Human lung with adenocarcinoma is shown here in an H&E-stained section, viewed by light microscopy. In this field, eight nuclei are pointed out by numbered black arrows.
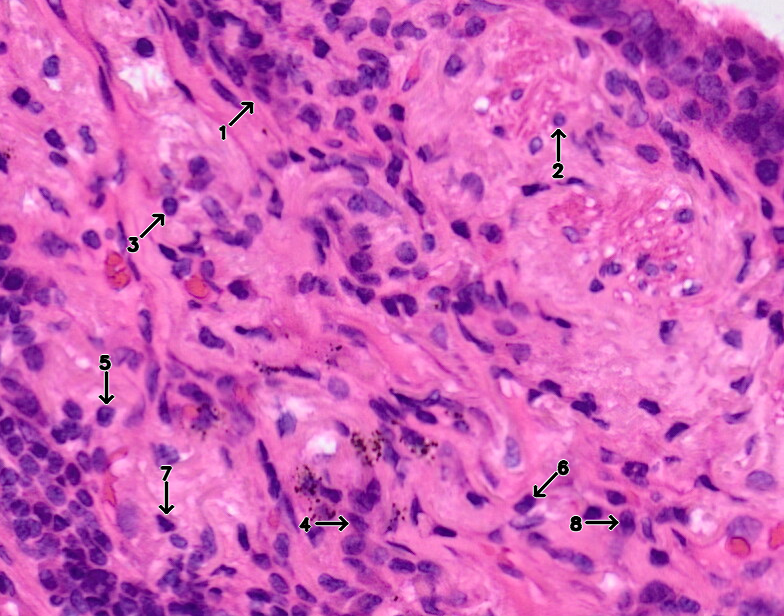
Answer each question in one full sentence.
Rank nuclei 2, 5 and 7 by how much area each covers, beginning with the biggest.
By area, largest first, they run 5, 7, 2.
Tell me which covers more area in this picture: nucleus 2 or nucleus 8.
Nucleus 8 is the larger one, covering about 2 times the area of nucleus 2.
